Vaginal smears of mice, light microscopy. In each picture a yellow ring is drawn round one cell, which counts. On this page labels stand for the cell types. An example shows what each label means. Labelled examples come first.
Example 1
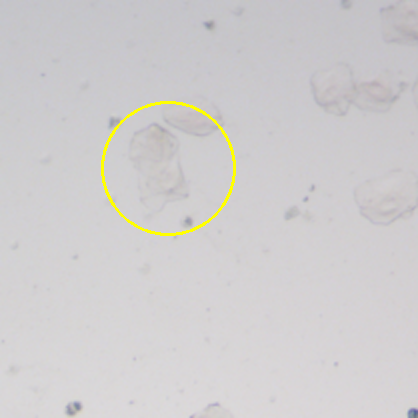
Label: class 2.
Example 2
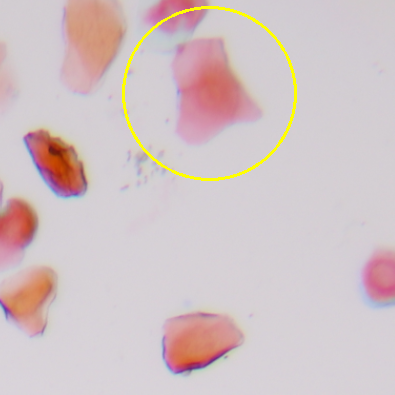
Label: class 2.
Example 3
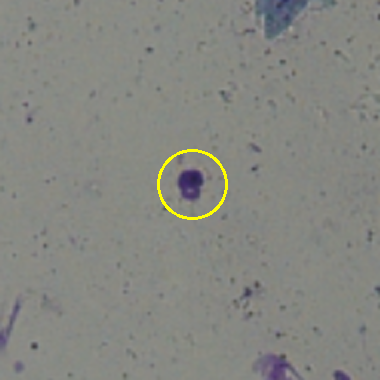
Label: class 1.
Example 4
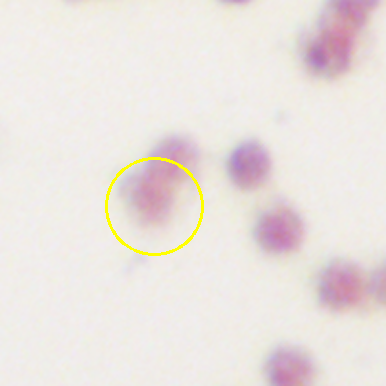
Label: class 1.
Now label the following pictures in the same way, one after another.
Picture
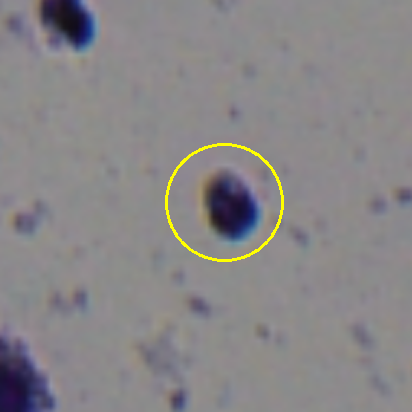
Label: class 1.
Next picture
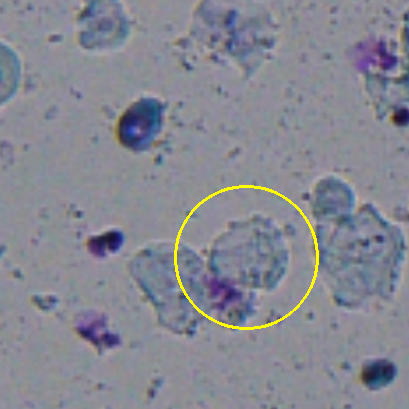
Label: class 2.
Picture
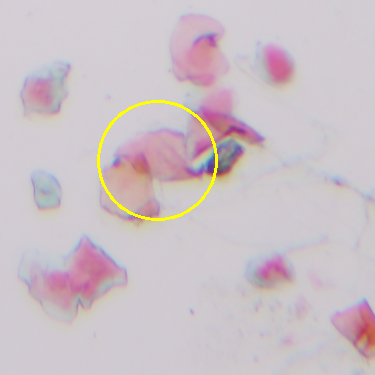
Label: class 2.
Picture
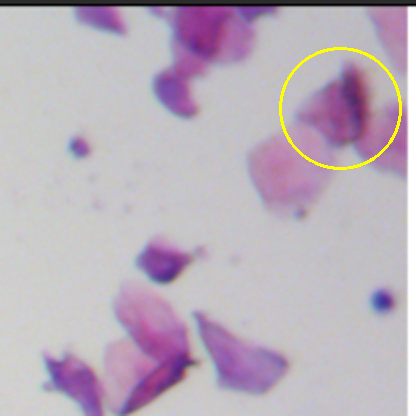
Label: class 2.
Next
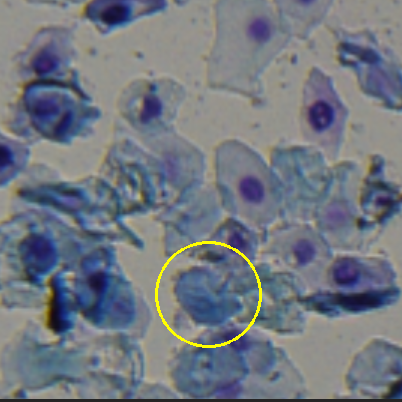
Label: class 2.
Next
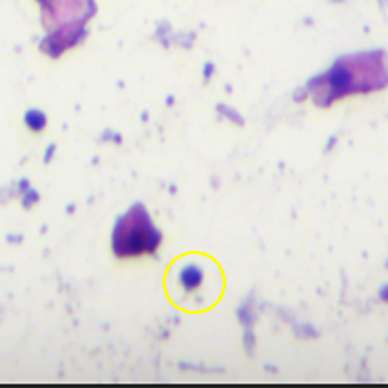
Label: class 1.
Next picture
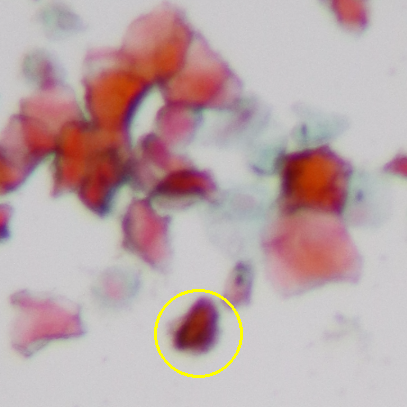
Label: class 2.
